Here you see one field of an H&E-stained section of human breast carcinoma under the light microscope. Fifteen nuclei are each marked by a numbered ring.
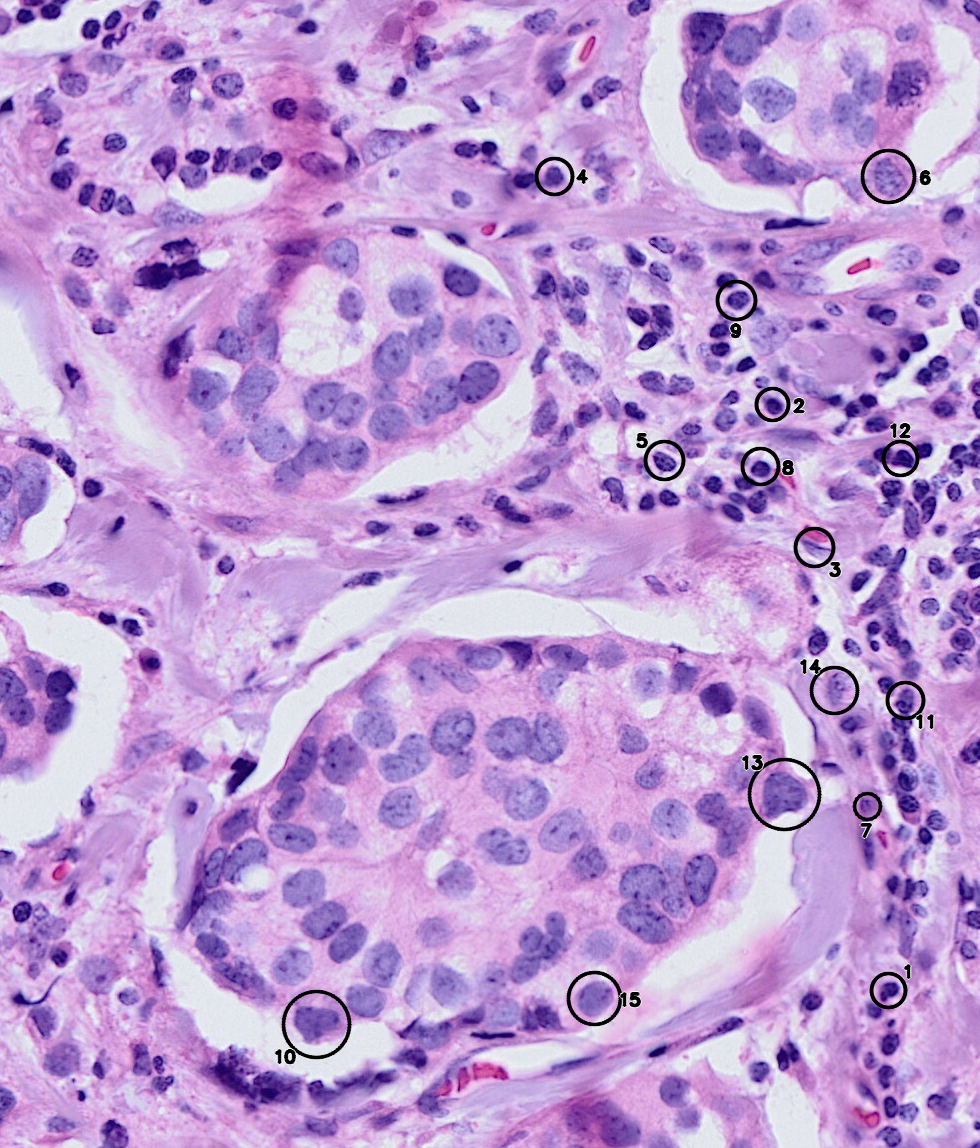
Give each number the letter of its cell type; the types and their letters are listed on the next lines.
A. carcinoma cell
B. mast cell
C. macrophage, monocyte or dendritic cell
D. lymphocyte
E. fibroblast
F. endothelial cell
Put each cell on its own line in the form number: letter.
1: D
2: D
3: F
4: D
5: D
6: A
7: F
8: D
9: D
10: A
11: D
12: D
13: A
14: C
15: A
